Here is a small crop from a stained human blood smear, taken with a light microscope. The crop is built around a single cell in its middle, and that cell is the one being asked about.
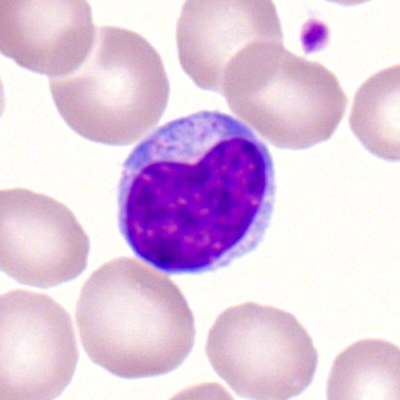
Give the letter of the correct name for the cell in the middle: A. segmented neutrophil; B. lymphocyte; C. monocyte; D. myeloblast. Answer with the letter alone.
B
